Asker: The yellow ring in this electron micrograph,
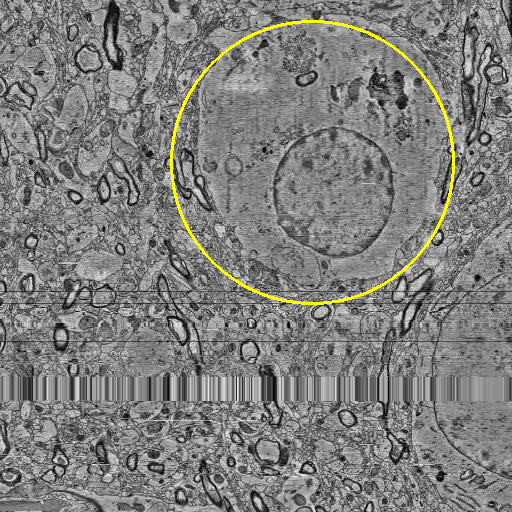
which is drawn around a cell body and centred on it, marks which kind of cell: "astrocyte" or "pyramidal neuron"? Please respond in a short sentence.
The marked cell is an astrocyte.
